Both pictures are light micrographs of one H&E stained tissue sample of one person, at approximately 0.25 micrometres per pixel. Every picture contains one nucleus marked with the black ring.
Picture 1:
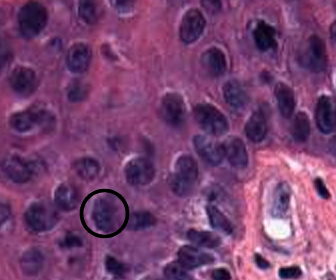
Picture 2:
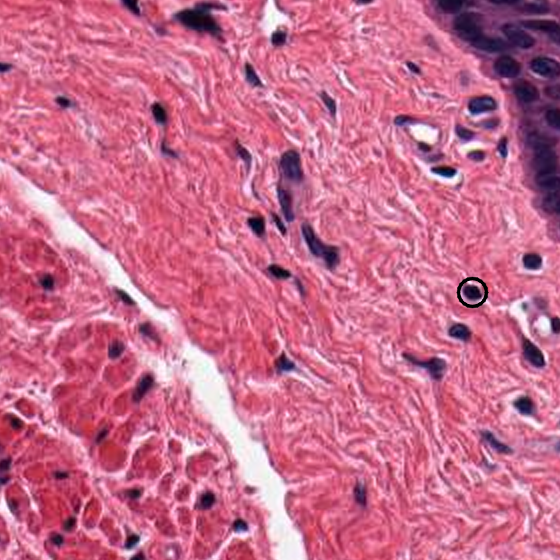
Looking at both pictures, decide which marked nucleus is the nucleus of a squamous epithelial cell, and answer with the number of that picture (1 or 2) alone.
1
